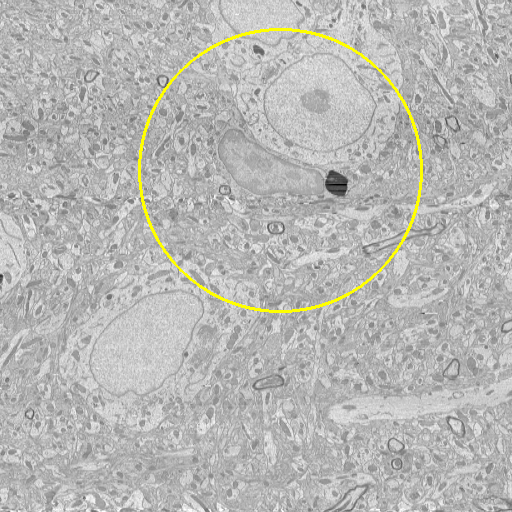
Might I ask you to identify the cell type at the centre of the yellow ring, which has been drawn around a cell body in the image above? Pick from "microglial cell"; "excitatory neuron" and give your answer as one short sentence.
The centre of the ring falls on a microglial cell.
